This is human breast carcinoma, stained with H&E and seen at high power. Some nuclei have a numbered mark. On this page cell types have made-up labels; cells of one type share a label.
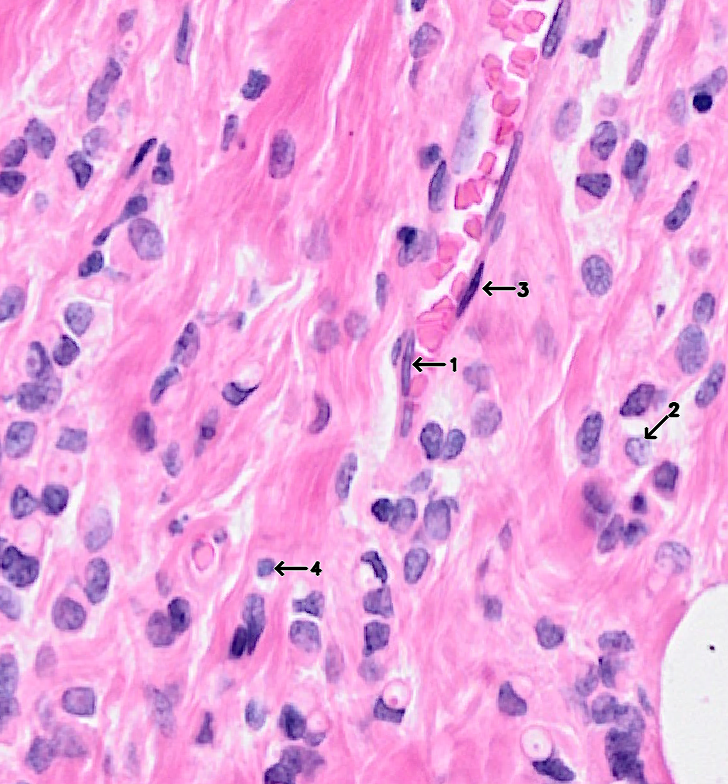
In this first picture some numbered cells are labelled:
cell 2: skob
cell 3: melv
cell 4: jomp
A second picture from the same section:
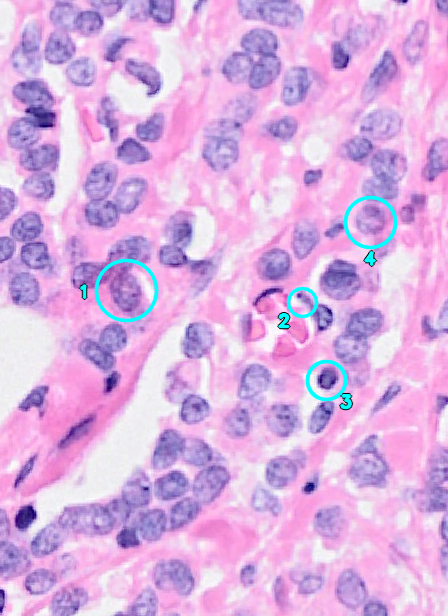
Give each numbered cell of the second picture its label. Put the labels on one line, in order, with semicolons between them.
skob; melv; jomp; skob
